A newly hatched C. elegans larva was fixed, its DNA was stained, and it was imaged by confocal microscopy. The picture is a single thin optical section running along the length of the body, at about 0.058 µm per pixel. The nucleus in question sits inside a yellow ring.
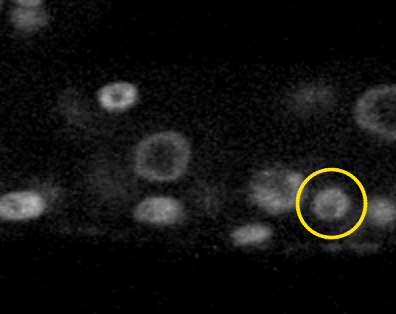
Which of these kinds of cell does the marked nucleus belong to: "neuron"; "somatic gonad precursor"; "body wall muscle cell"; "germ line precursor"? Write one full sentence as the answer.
The marked cell is a somatic gonad precursor.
